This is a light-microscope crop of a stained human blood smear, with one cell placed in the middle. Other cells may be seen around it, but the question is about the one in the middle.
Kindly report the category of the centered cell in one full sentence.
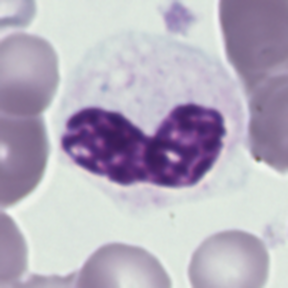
What the crop centres on is a band neutrophil.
